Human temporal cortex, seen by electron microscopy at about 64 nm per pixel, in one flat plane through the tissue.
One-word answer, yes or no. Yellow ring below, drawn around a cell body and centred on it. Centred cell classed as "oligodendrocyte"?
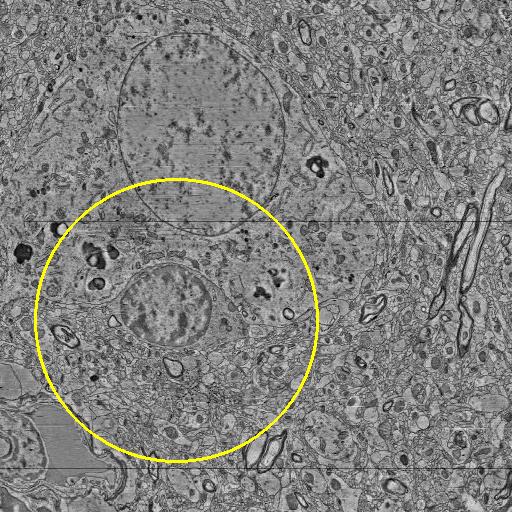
yes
